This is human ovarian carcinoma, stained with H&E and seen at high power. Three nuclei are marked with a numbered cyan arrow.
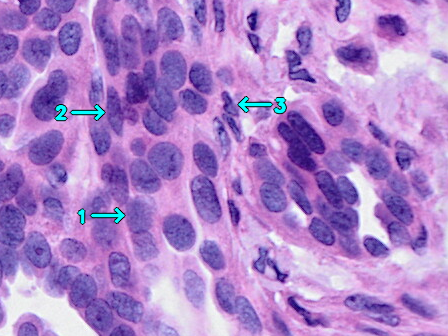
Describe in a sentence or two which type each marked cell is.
Cell 1 is a carcinoma cell, cell 2 is a carcinoma cell and cell 3 is a fibroblast.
